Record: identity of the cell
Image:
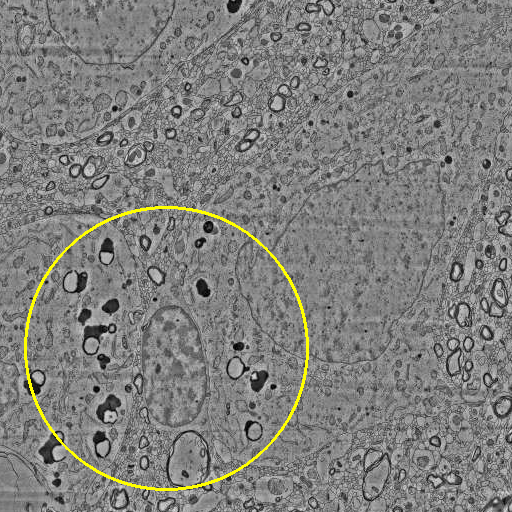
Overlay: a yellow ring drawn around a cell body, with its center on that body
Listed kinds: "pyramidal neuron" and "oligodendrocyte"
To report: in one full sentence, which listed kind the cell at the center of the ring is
In the image, the cell body at the ring's center belongs to an oligodendrocyte.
